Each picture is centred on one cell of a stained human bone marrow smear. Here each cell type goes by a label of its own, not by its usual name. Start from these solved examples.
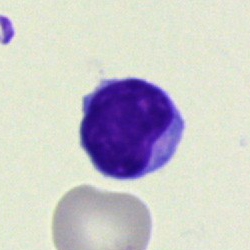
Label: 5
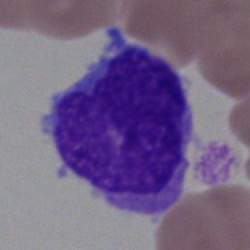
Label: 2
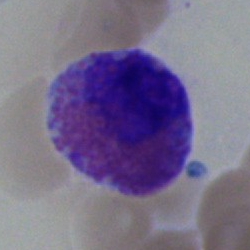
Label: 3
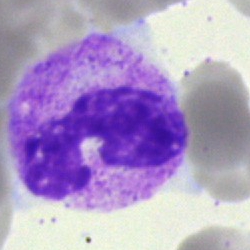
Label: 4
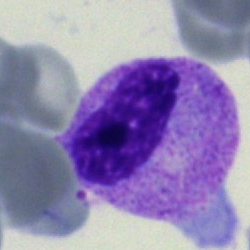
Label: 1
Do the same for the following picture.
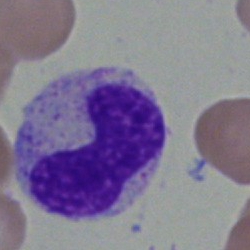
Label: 1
